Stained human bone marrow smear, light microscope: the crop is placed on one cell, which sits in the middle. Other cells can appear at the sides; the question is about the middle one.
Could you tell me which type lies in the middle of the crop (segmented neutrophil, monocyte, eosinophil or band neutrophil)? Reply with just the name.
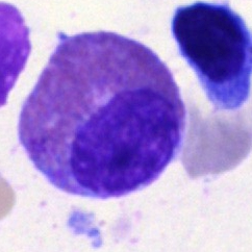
eosinophil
